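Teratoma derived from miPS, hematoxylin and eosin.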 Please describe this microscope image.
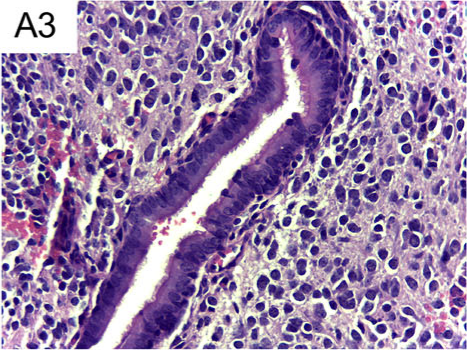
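Pseudostratified ciliated epithelium lining a narrow, elongated lumen, set within a cellular stroma. The surrounding stroma holds many round to oval nuclei in a pale loose background, with scattered red blood cells.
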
